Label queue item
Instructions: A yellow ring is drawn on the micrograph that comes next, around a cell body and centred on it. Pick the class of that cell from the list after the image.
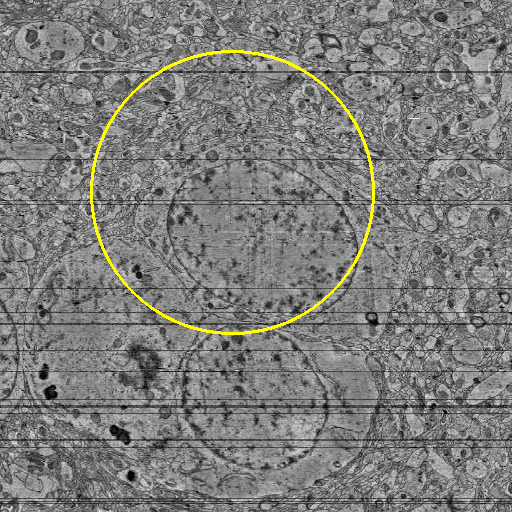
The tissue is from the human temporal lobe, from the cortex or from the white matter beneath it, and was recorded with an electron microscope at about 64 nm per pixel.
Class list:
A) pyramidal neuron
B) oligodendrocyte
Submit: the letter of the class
A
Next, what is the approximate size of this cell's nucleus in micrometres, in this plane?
Approximately 13 x 10 micrometres in this plane.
